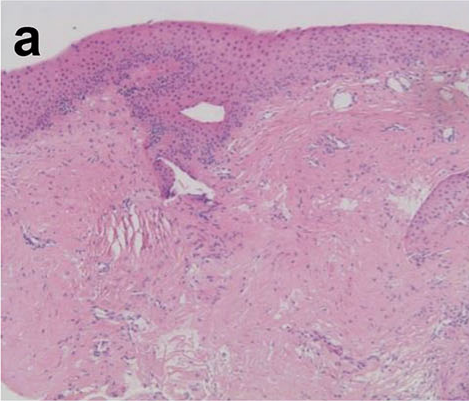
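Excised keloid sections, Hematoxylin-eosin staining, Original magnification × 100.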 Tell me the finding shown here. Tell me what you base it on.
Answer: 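The surface epithelium along the top is many cell layers thick. The lower border of the epithelium dips irregularly into the underlying tissue. On this evidence: hyperplastic and undulating.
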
